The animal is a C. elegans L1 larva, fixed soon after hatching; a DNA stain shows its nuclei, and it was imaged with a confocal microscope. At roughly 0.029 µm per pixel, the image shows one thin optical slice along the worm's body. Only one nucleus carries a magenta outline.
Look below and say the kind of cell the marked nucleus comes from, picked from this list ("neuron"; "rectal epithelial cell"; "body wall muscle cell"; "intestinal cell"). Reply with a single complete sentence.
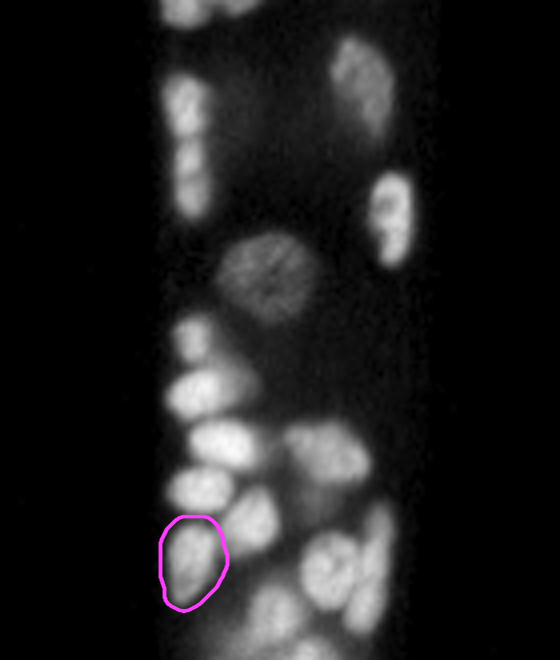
It belongs to a rectal epithelial cell.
